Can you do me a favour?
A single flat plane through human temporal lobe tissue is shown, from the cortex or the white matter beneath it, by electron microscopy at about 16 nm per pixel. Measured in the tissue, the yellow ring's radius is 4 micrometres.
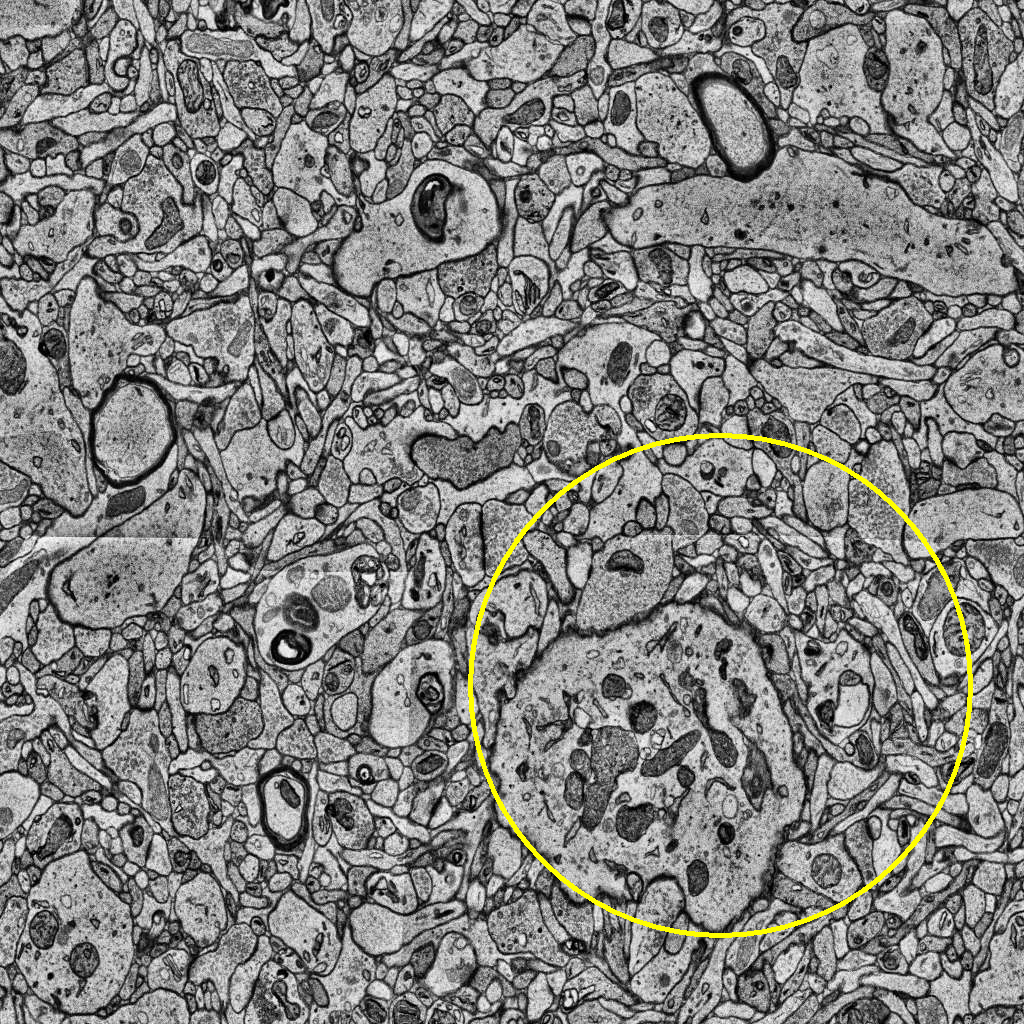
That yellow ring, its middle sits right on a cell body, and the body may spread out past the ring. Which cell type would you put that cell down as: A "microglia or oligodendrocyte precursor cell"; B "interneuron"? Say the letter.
B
